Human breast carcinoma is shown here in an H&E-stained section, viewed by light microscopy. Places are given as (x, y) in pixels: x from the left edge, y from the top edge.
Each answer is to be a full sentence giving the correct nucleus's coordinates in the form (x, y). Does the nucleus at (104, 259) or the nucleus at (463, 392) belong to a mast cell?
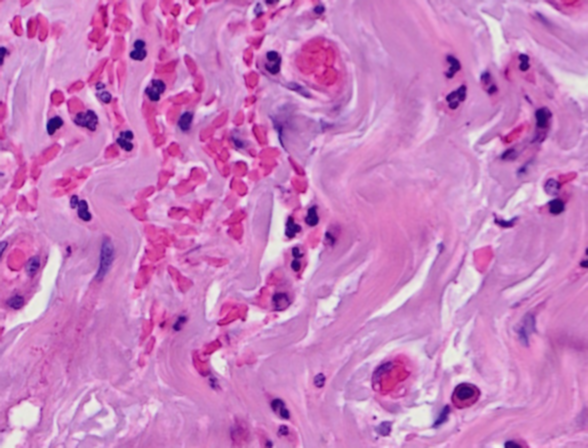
The one belonging to a mast cell is the nucleus at (463, 392), not the other.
